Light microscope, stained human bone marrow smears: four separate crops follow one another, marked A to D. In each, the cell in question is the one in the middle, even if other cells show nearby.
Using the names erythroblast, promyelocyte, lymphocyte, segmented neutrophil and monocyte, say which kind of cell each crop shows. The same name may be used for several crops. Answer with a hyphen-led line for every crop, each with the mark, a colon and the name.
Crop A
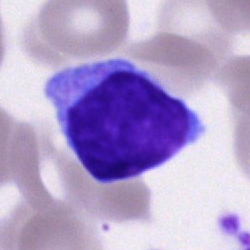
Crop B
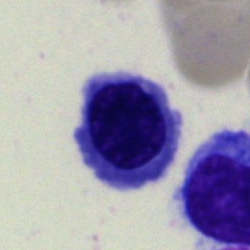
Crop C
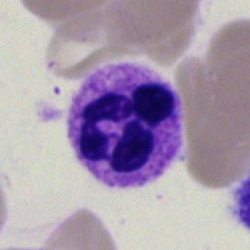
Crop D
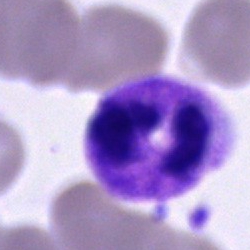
- A: lymphocyte
- B: erythroblast
- C: segmented neutrophil
- D: segmented neutrophil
